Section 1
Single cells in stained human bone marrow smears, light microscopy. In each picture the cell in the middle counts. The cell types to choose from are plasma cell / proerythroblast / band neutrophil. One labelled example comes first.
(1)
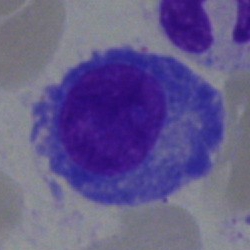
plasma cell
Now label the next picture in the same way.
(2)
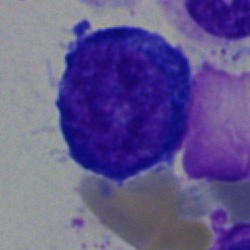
proerythroblast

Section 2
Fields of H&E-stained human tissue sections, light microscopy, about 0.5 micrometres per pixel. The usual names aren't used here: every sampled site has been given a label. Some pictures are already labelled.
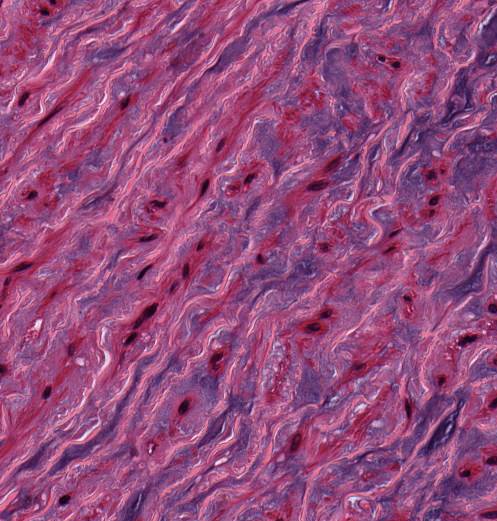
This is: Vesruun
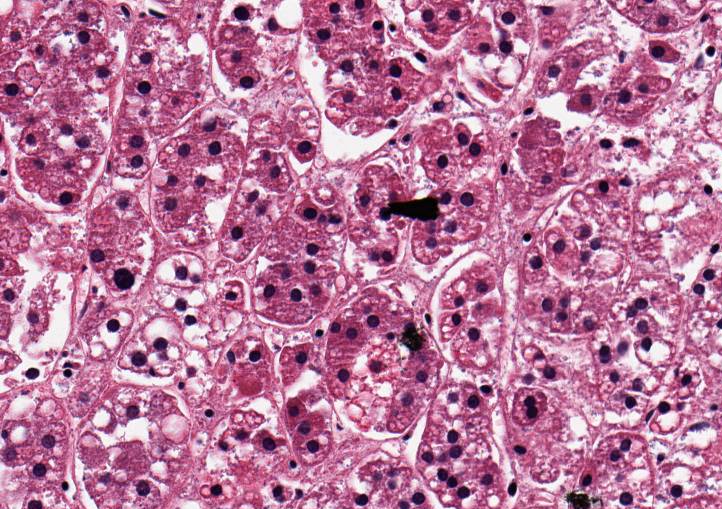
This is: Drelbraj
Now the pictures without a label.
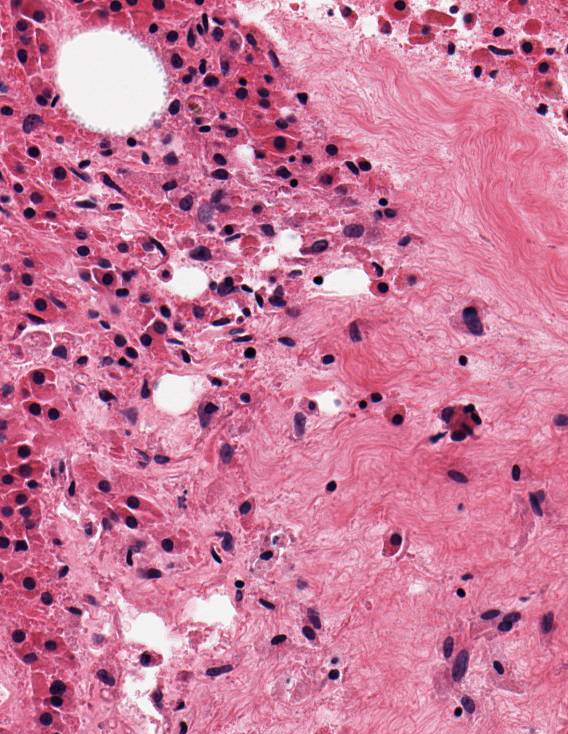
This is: Drelbraj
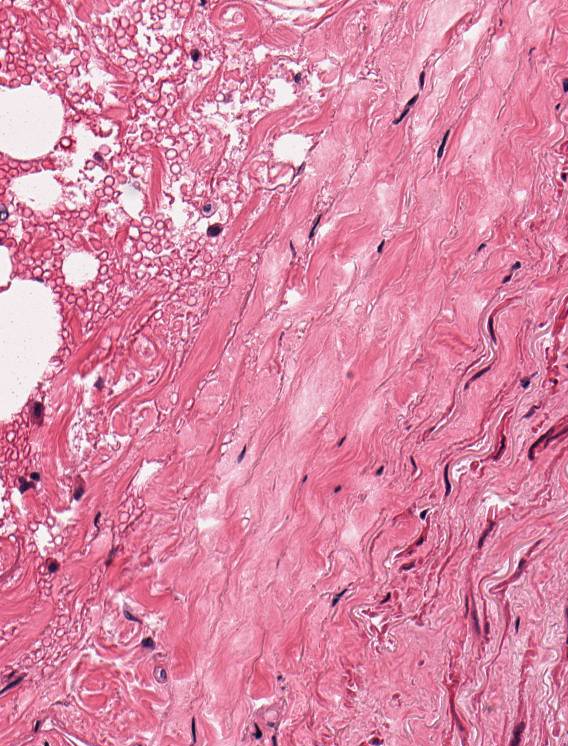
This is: Vesruun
